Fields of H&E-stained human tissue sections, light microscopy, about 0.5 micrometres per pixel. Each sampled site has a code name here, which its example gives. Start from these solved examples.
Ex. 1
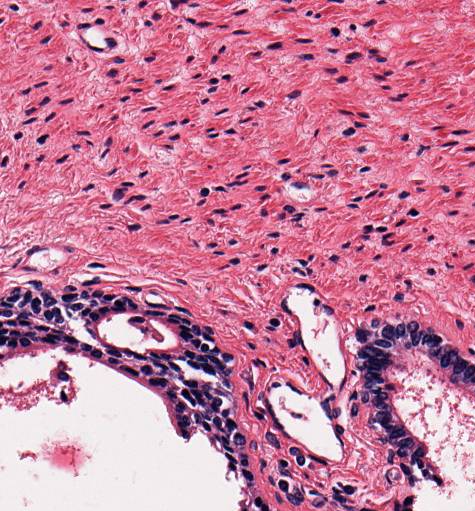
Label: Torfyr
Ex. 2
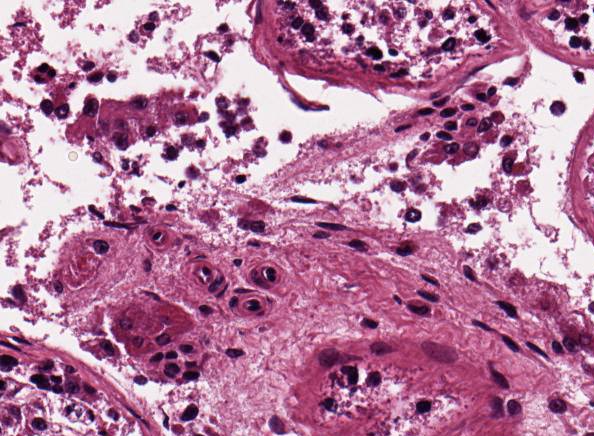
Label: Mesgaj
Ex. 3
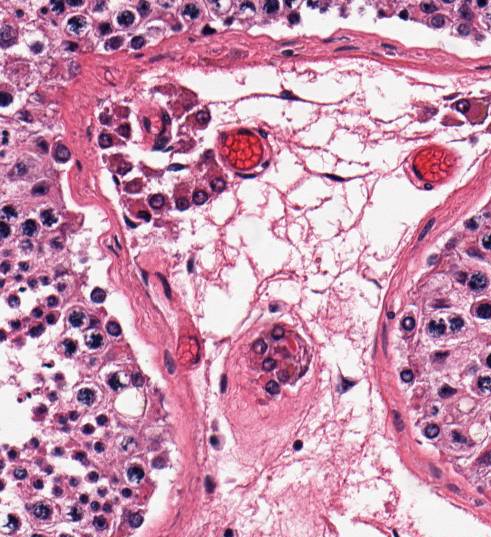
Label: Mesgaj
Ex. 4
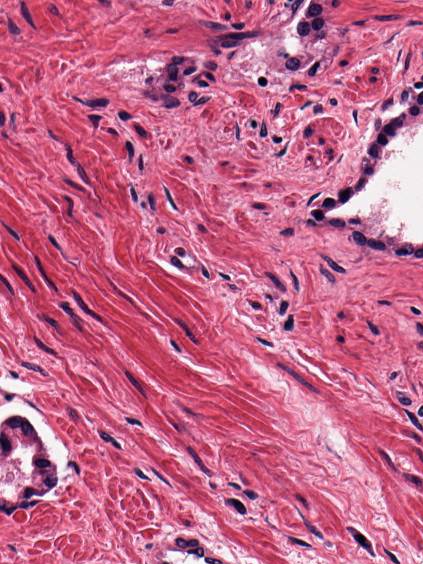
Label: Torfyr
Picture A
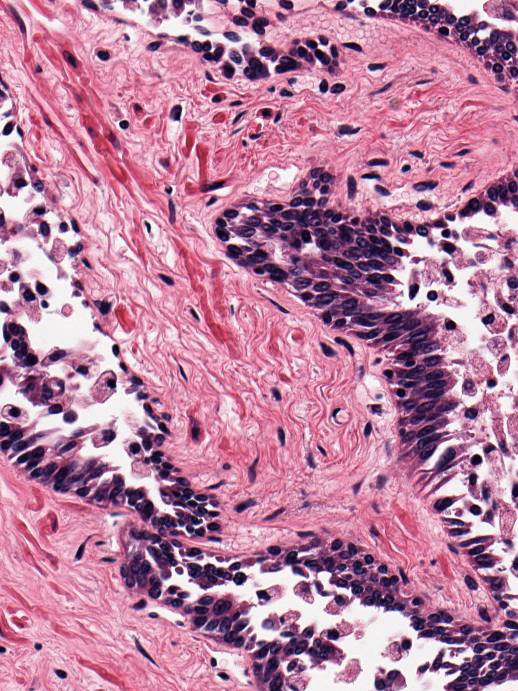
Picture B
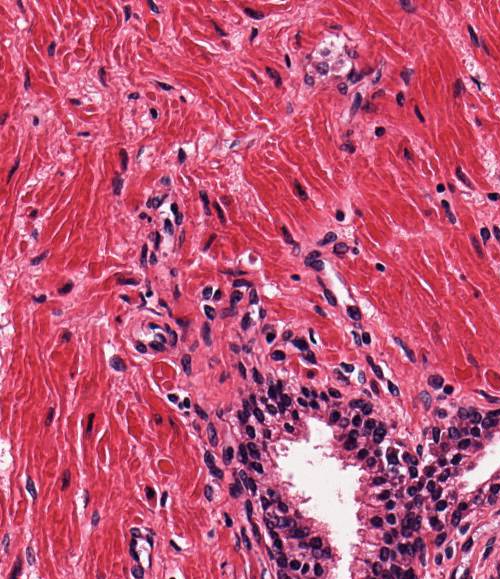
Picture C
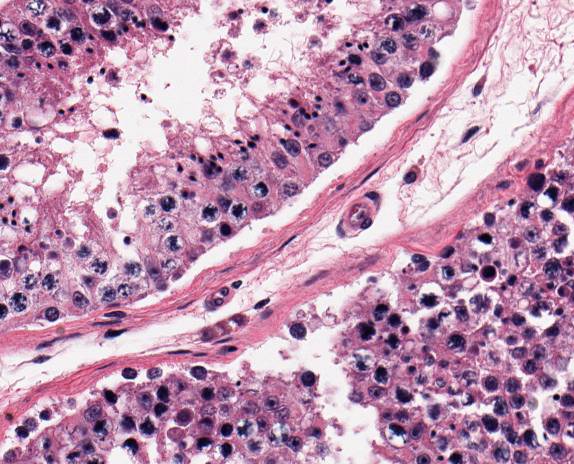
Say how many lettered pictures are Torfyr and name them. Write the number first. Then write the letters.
Count: 2 (A, B)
